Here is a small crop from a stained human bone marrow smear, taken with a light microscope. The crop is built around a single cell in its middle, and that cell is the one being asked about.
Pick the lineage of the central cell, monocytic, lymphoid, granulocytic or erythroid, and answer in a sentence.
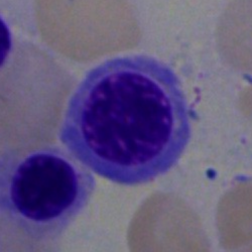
In this crop the cell in the center is part of the erythroid lineage.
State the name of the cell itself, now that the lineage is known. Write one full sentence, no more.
The centrally placed cell is classified as an erythroblast.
